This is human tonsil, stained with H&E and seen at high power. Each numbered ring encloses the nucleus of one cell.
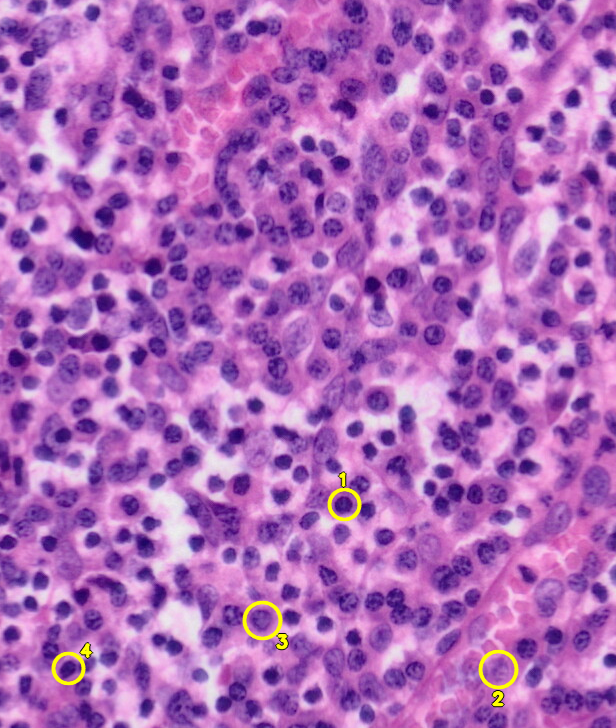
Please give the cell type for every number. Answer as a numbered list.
1. plasma cell
2. endothelial cell
3. plasma cell
4. plasma cell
